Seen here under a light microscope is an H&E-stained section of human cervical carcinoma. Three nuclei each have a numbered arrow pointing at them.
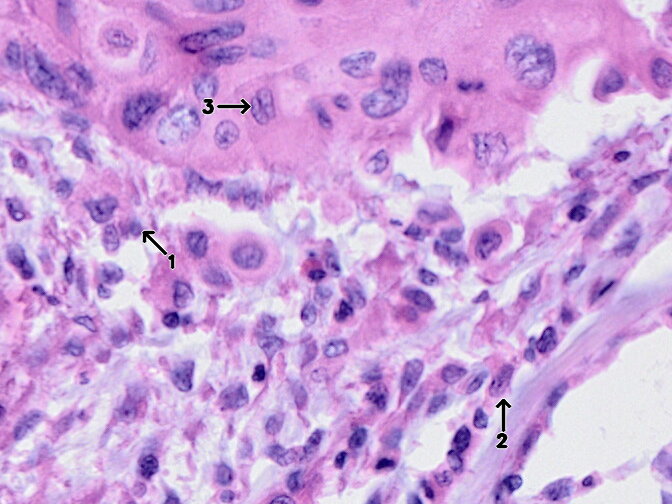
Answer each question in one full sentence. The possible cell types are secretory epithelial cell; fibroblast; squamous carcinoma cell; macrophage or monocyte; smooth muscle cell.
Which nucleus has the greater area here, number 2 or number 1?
Nucleus 2 is the larger one, covering about 3 times the area of nucleus 1.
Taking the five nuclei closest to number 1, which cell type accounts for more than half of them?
Macrophages or monocytes account for more than half of the five nuclei nearest to number 1.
